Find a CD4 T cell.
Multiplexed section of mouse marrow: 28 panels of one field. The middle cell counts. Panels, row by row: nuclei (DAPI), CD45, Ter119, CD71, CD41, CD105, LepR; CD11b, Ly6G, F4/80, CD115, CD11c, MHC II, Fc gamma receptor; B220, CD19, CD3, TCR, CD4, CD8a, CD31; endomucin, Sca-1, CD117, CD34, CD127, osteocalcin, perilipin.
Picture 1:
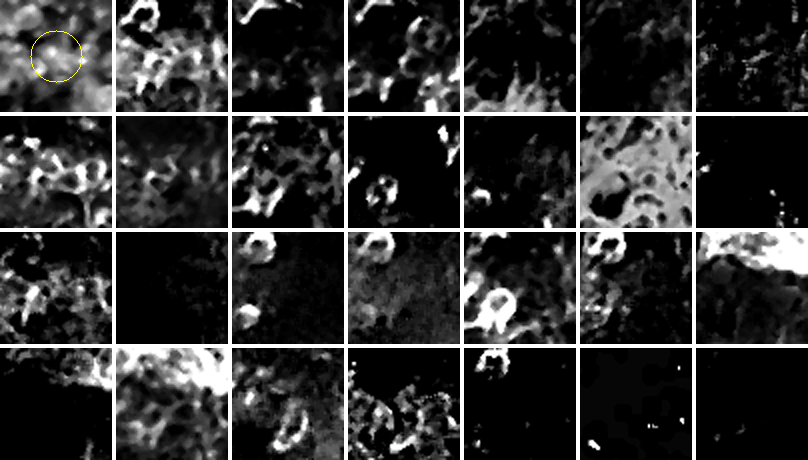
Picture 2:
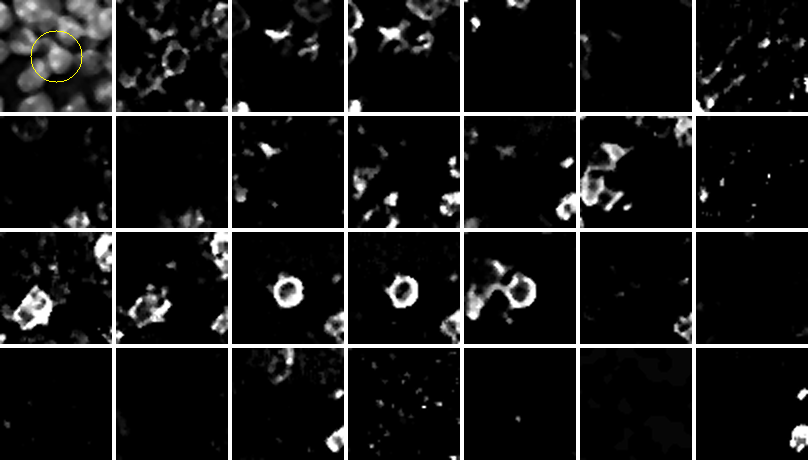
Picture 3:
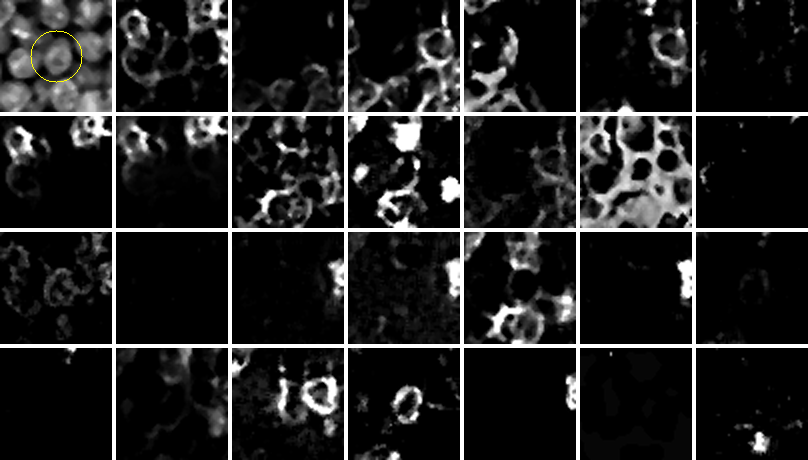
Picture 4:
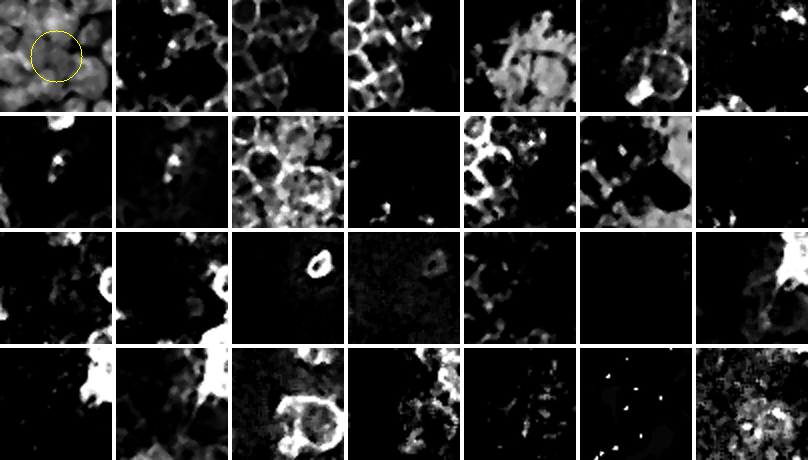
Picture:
2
